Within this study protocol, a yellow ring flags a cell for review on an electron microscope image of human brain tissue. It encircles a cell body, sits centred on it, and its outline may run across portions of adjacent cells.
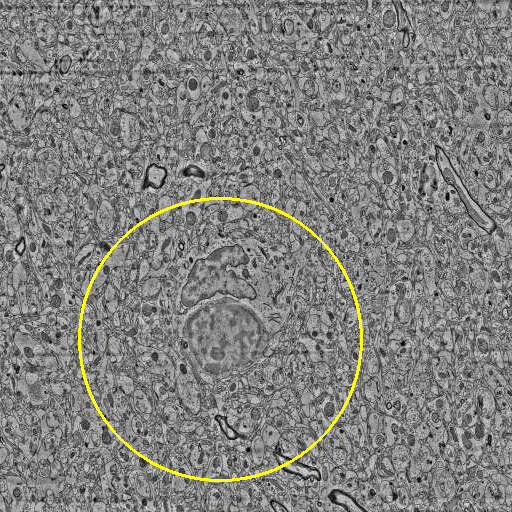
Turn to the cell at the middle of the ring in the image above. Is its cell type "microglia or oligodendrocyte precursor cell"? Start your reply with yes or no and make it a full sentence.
No, the cell at the ring's centre in the image above has another cell type.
